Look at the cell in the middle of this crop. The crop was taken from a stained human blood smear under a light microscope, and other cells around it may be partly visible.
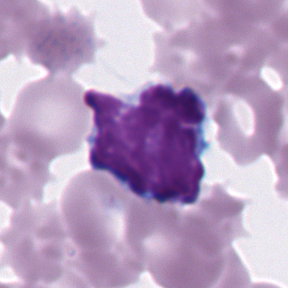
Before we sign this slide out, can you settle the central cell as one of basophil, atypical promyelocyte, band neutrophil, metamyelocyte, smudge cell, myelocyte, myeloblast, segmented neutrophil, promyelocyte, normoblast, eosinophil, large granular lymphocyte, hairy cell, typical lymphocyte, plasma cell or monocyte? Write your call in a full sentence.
What sits at the centre of this crop is a typical lymphocyte.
